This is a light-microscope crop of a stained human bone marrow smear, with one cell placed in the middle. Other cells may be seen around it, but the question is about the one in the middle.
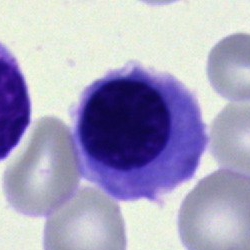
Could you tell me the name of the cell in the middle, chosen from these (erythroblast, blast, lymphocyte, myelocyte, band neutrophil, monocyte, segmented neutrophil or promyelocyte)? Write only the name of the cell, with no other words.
erythroblast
